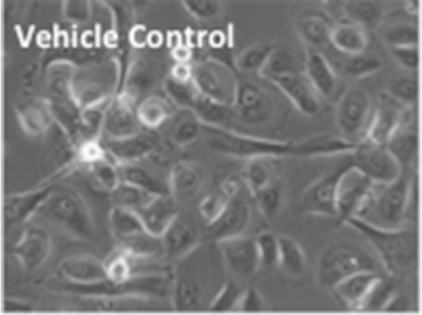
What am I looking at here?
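Most cells are polygonal to oval, each with a single round to oval nucleus that often shows a dark nucleolus, surrounded by a pale, thin cytoplasm with visible edges where neighbouring cells meet. Some cells are more elongated with tapering ends. Only a few cells are rounded and phase-bright. The cells lie close together with little bare surface between them, giving an overall picture of attached, spread cells.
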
